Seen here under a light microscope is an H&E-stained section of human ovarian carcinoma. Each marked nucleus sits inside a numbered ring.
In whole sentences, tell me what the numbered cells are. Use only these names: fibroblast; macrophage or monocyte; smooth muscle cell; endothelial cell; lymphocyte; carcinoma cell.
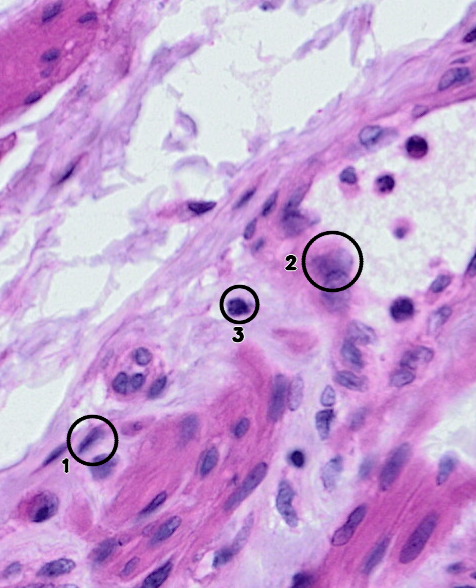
Cell 1 is a fibroblast. Cell 2 is an endothelial cell. Cell 3 is a lymphocyte.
